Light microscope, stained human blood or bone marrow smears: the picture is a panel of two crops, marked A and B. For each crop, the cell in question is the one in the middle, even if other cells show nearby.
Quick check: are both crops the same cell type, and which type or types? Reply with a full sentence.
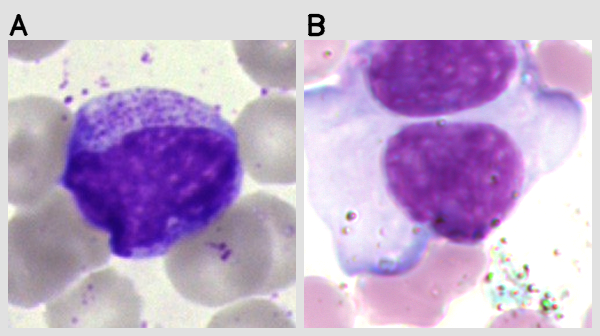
No, crop A and crop B contain, respectively, a myelocyte and a plasma cell.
